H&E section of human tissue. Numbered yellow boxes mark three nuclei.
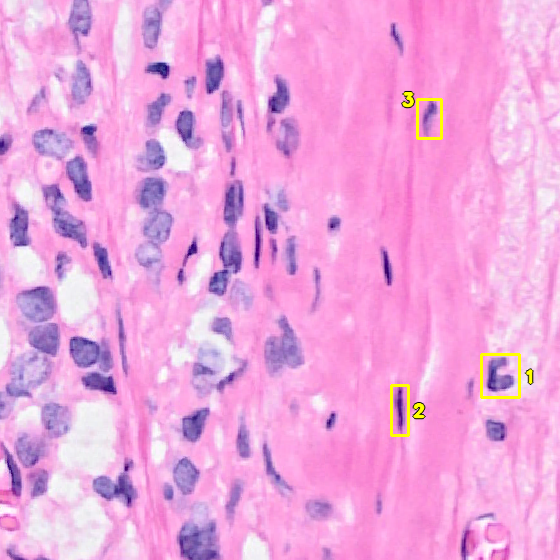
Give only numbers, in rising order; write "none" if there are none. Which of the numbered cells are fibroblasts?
2, 3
